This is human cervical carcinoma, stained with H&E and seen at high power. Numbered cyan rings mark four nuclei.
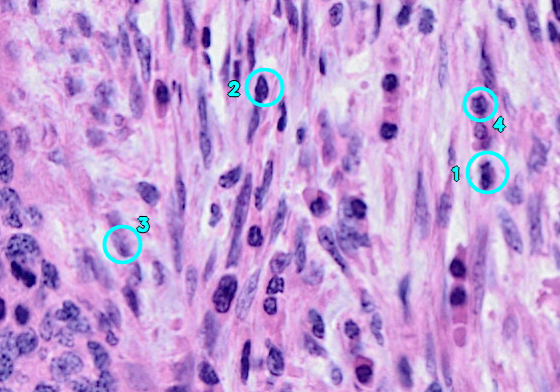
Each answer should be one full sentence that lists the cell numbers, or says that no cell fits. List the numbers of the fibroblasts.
Cell 3 is the single numbered cell that is a fibroblast.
